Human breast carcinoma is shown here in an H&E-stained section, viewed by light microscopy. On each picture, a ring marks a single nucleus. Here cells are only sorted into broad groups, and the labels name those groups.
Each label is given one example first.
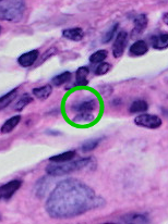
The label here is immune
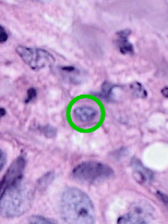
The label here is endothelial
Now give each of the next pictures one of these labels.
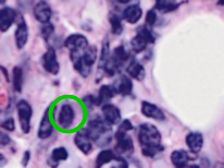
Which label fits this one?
immune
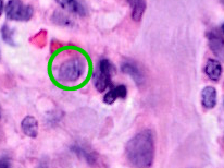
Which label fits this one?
endothelial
